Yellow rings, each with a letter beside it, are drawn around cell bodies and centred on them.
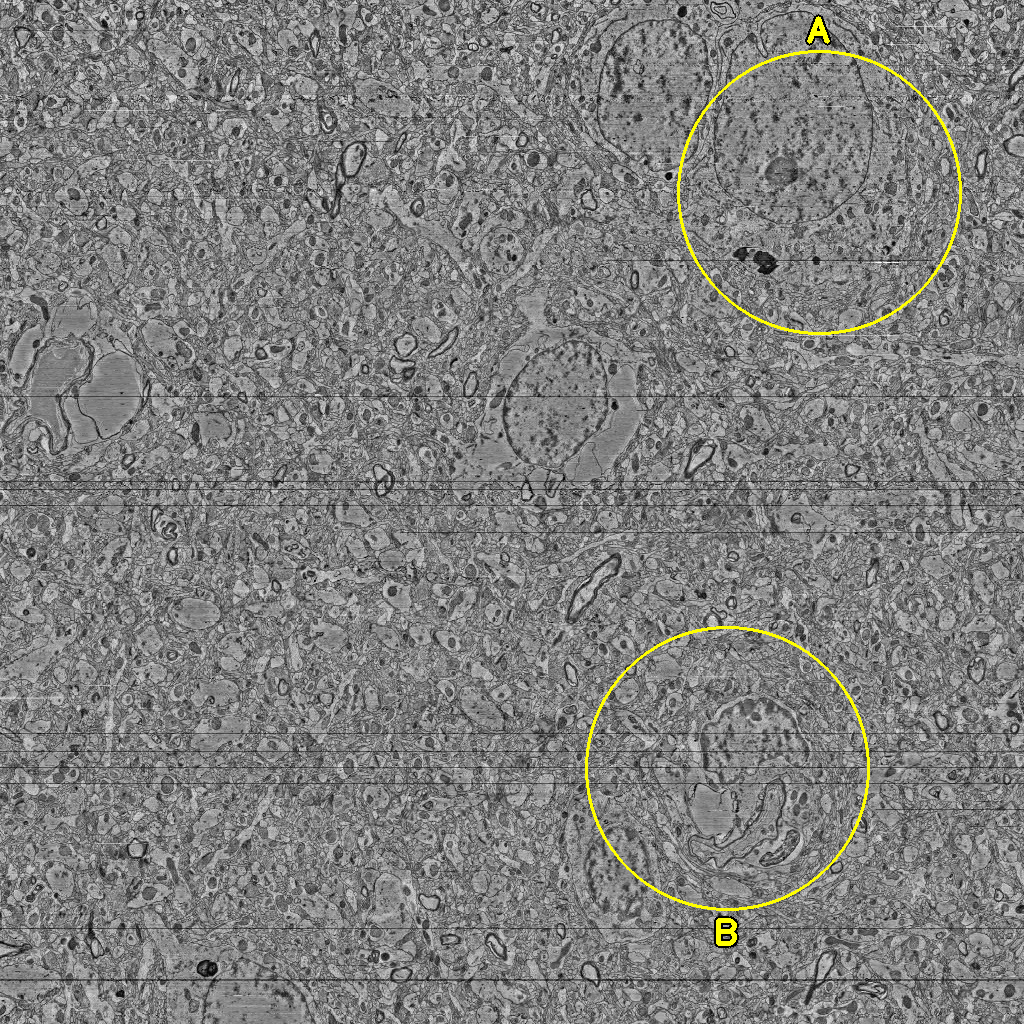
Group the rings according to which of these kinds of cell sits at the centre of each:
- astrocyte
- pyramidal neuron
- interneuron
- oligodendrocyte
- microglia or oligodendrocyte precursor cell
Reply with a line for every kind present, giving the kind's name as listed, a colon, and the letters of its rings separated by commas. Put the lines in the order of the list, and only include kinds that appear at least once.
pyramidal neuron: A
microglia or oligodendrocyte precursor cell: B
